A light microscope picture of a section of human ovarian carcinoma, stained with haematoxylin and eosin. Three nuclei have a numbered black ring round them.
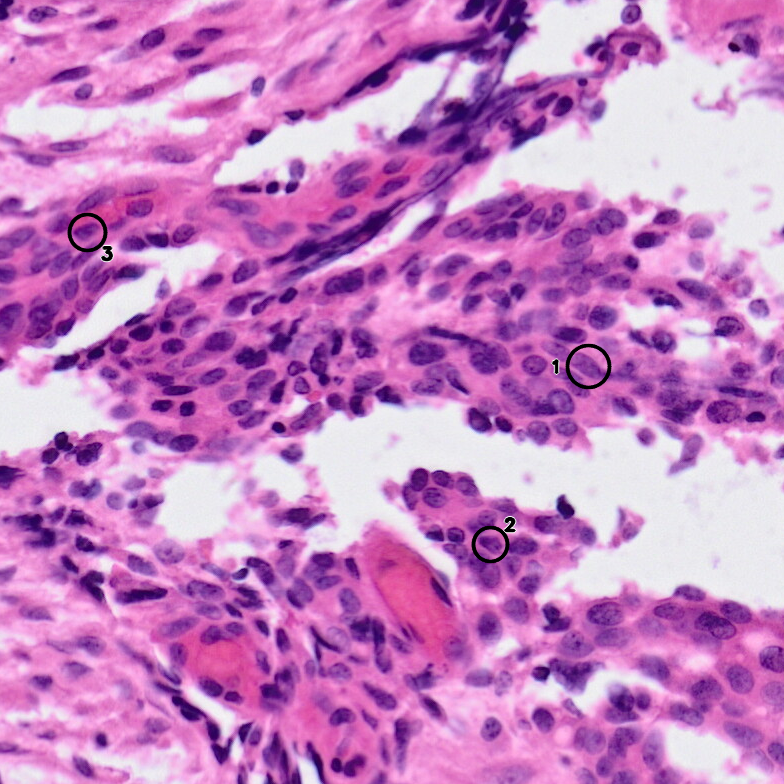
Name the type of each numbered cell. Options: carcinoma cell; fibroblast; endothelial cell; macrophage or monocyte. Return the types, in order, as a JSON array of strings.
["carcinoma cell", "carcinoma cell", "endothelial cell"]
